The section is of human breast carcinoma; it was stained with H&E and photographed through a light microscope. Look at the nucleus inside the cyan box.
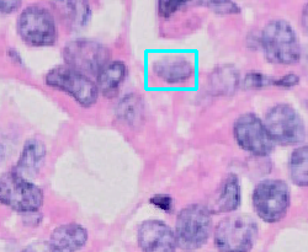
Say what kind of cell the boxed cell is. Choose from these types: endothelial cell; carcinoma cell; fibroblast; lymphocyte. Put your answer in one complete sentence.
This is a carcinoma cell.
